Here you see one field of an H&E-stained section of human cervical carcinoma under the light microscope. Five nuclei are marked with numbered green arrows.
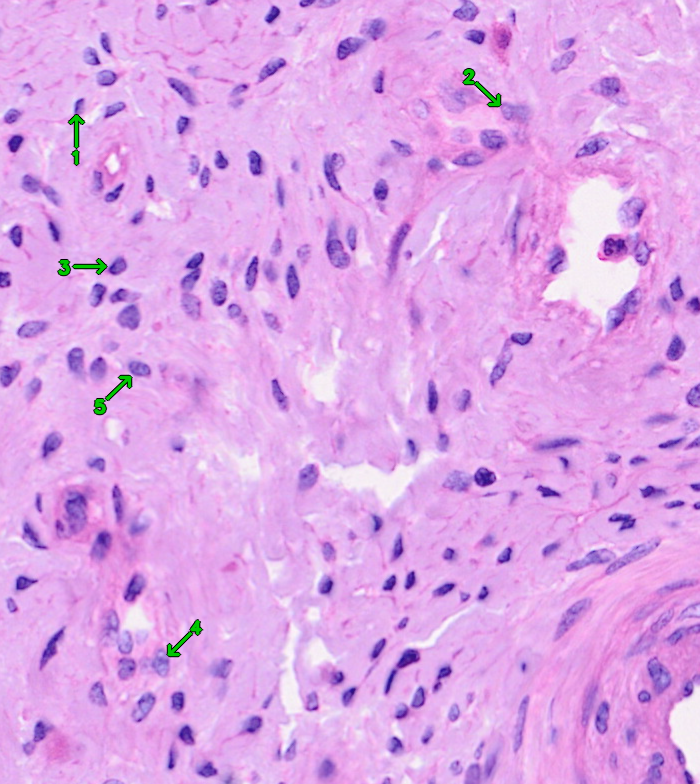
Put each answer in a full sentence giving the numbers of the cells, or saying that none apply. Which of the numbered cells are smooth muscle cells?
The numbers 2 and 4 mark cells that are smooth muscle cells.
